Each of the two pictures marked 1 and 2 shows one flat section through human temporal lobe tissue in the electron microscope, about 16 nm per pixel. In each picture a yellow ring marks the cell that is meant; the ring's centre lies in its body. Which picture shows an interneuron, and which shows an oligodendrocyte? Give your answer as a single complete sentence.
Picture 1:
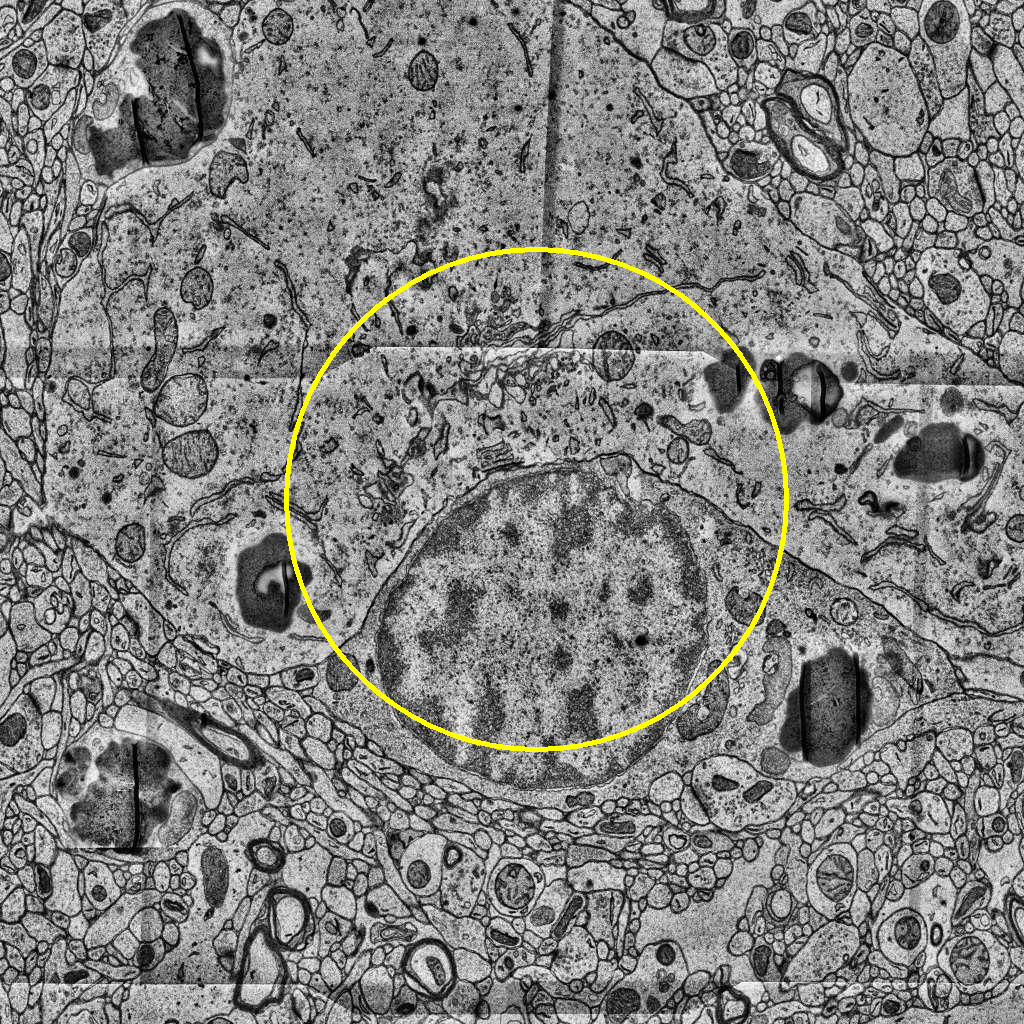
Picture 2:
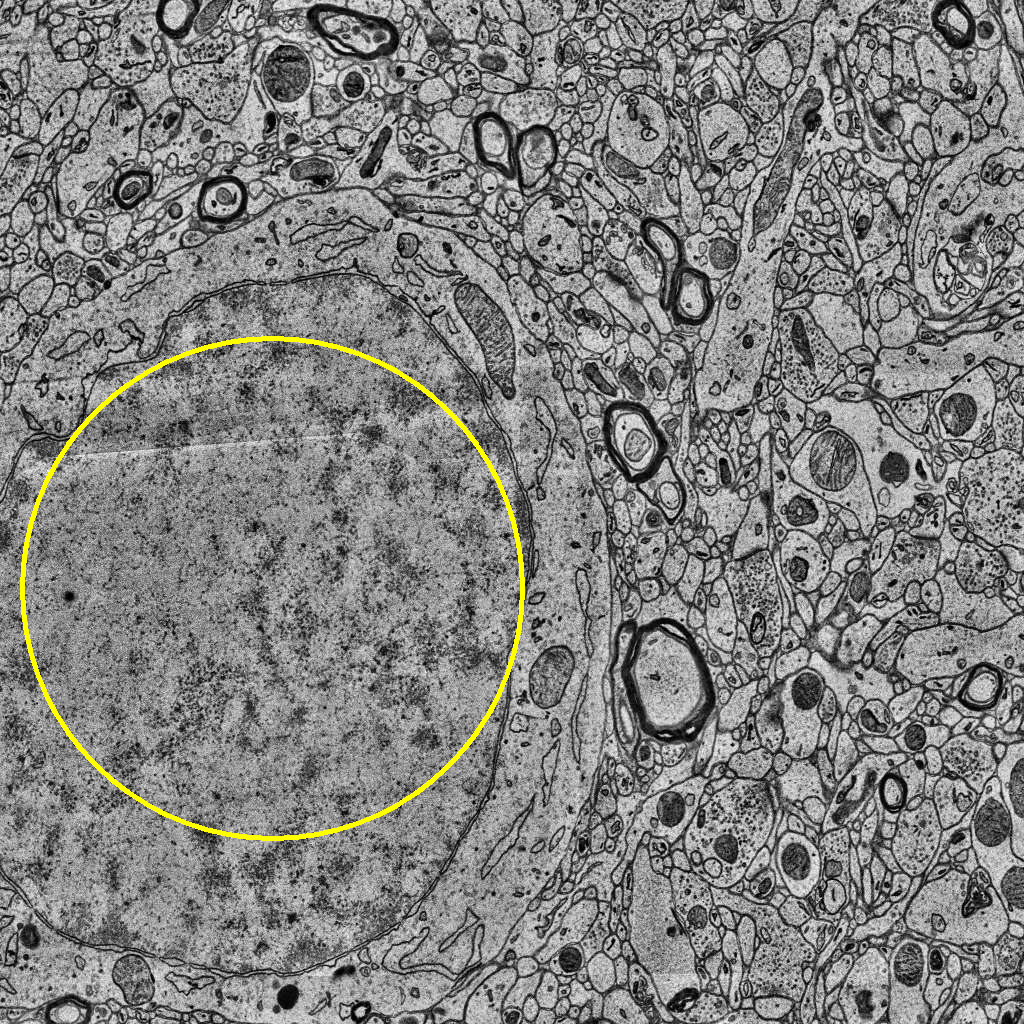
Picture 1 is of an oligodendrocyte, and picture 2 is of an interneuron.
